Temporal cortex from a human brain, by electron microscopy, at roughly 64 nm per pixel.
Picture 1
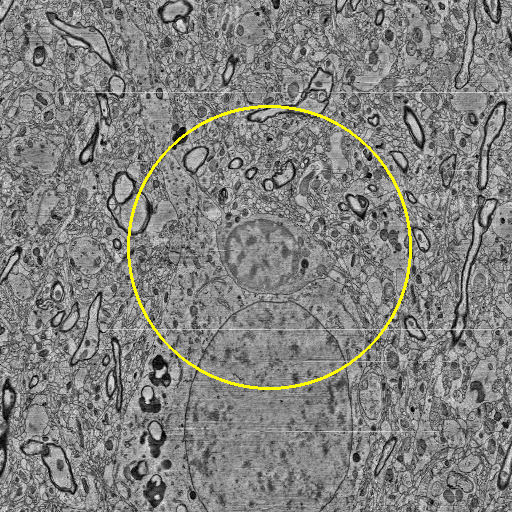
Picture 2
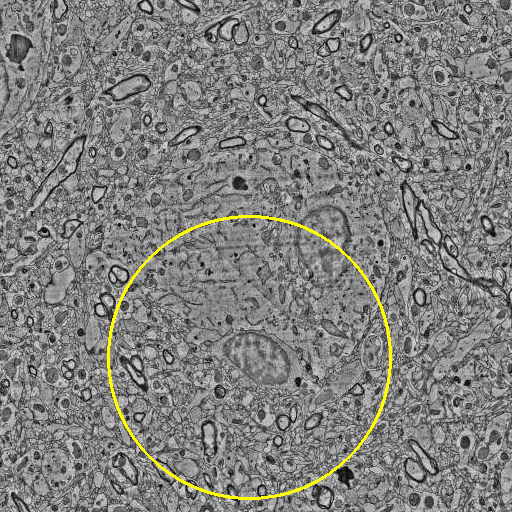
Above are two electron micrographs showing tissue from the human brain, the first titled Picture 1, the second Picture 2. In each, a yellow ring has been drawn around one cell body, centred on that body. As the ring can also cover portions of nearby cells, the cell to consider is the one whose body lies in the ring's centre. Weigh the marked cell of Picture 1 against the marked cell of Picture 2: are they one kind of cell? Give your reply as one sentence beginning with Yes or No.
Yes, the two cells sitting at the ring centres in the pictures are of one kind.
